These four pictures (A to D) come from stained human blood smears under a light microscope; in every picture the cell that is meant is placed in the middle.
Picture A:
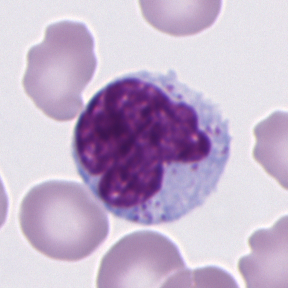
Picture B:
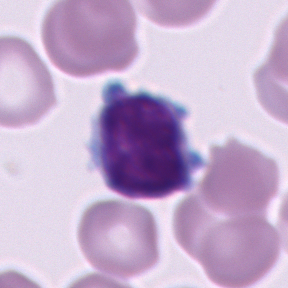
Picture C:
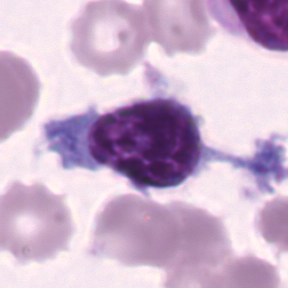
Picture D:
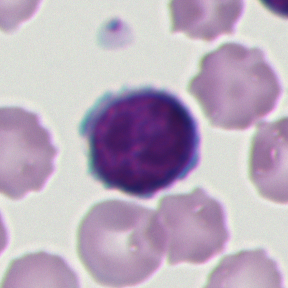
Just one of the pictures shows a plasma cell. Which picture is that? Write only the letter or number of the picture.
C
